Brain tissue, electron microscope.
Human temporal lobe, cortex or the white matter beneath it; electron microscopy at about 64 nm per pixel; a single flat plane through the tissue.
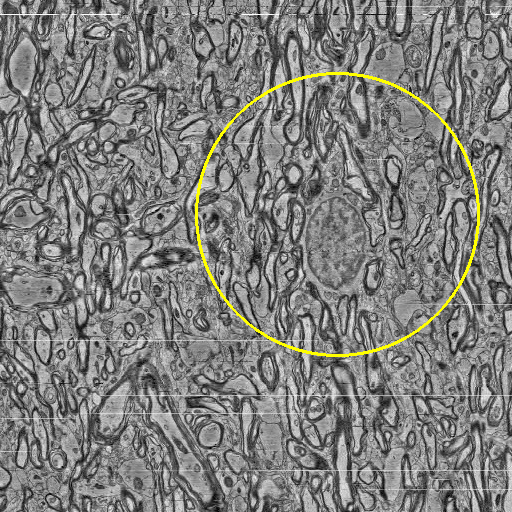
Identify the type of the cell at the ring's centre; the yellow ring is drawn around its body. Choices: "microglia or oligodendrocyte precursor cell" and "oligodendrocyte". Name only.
oligodendrocyte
